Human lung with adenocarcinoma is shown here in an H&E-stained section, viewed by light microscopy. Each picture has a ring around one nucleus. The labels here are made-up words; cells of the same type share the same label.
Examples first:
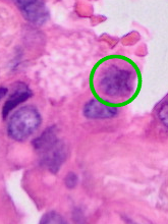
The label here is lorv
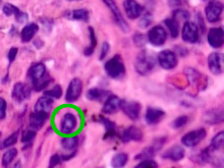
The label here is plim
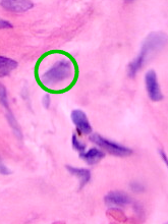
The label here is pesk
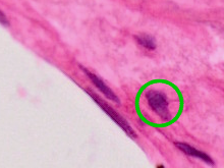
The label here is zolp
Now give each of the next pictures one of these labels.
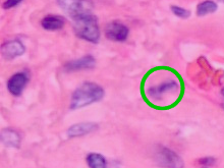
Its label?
pesk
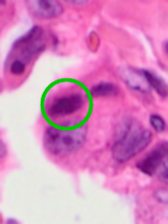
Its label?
lorv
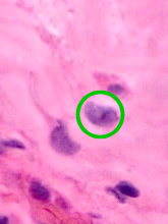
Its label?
pesk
